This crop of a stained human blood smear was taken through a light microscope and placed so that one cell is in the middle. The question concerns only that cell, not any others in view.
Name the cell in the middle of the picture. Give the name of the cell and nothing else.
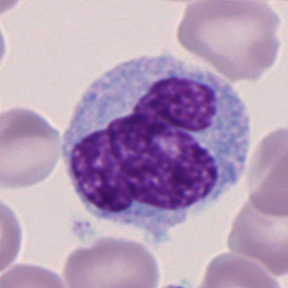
monocyte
